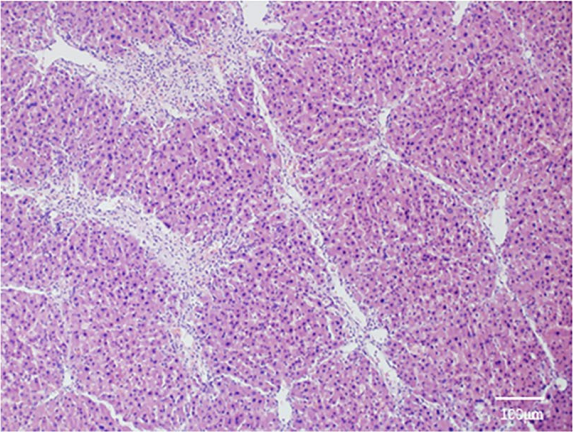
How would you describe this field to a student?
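Liver parenchyma of hepatocytes in cords, with polygonal pink cells bearing round dark-blue central nuclei, separated by narrow sinusoidal spaces. Pale, loose fibrous bands run through the field and interconnect, breaking the parenchyma into irregular nodules so that the normal lobular pattern is disrupted. Within the bands, especially at upper left, small dark nuclei of inflammatory cells are crowded together. Several open vessel lumina lie along the bands. Hepatocyte staining is somewhat uneven, with paler cells scattered among the cords.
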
